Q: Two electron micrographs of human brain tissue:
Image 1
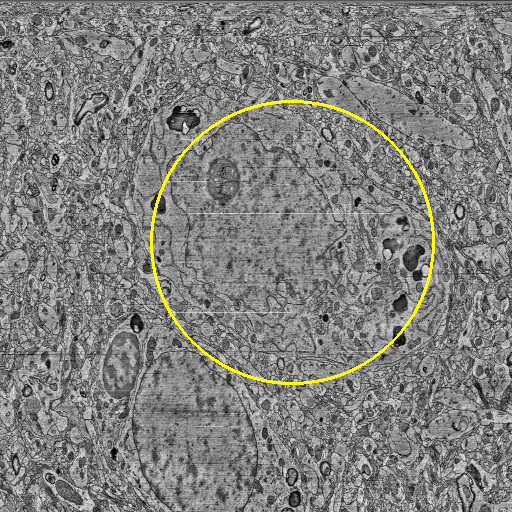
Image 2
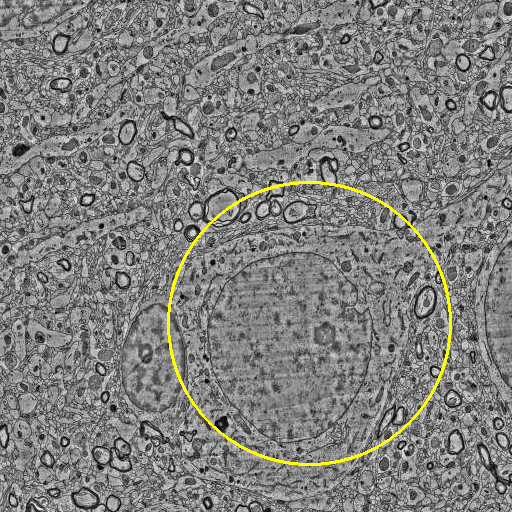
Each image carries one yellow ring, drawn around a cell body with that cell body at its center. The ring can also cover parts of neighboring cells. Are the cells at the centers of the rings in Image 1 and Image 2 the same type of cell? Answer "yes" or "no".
no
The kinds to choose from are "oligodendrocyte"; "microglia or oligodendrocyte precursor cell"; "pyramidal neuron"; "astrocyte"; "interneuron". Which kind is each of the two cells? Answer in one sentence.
Of the two, the first cell is an interneuron and the second cell is a pyramidal neuron.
